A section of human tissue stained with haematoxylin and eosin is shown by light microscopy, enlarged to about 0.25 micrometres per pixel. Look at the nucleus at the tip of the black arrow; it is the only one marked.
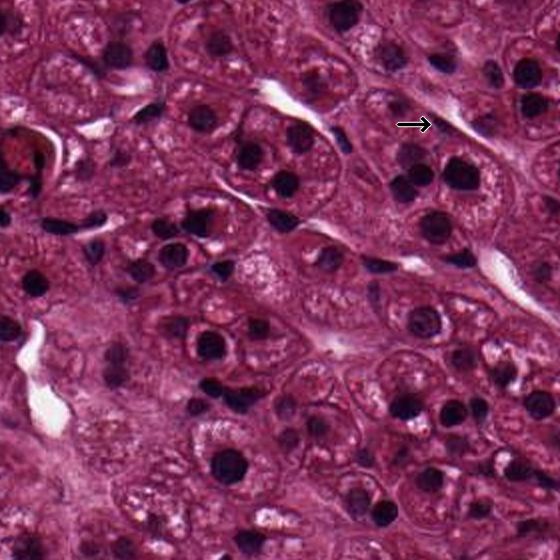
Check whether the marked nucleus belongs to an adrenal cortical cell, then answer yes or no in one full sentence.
No, the marked nucleus is held by a supporting cell and not by an adrenal cortical cell.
